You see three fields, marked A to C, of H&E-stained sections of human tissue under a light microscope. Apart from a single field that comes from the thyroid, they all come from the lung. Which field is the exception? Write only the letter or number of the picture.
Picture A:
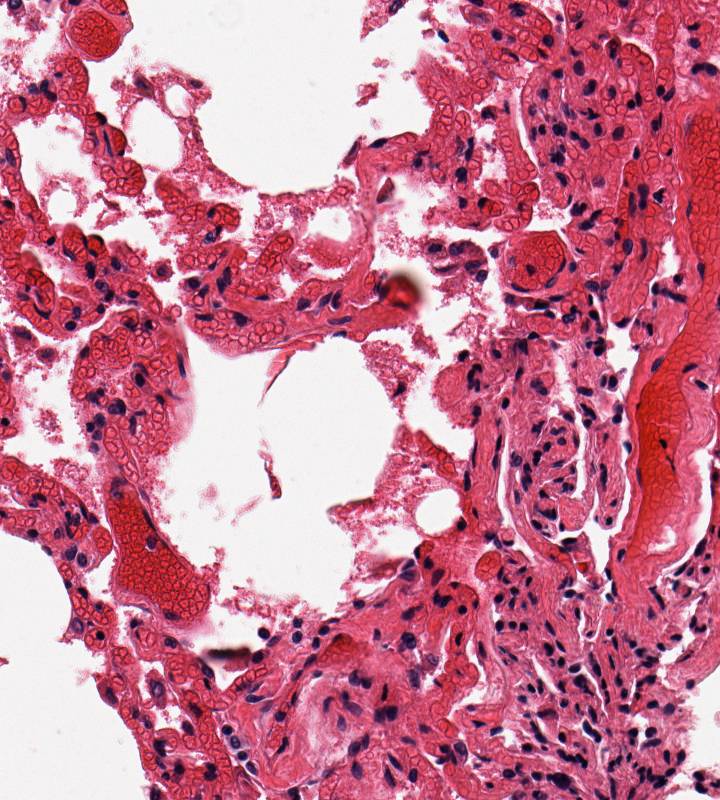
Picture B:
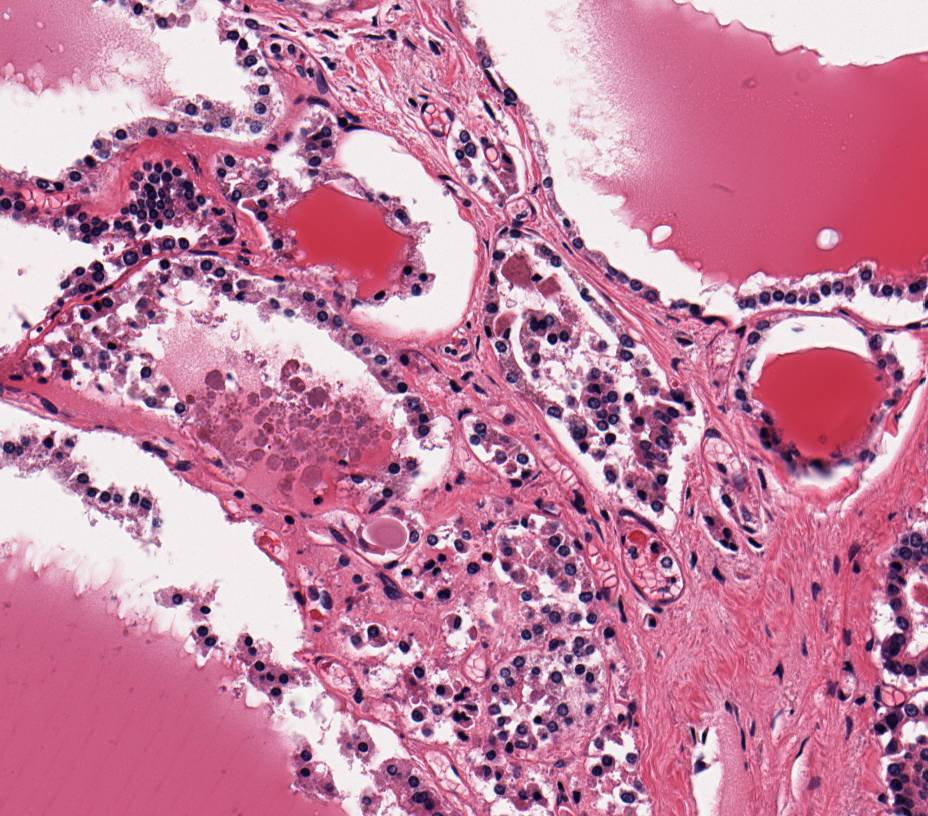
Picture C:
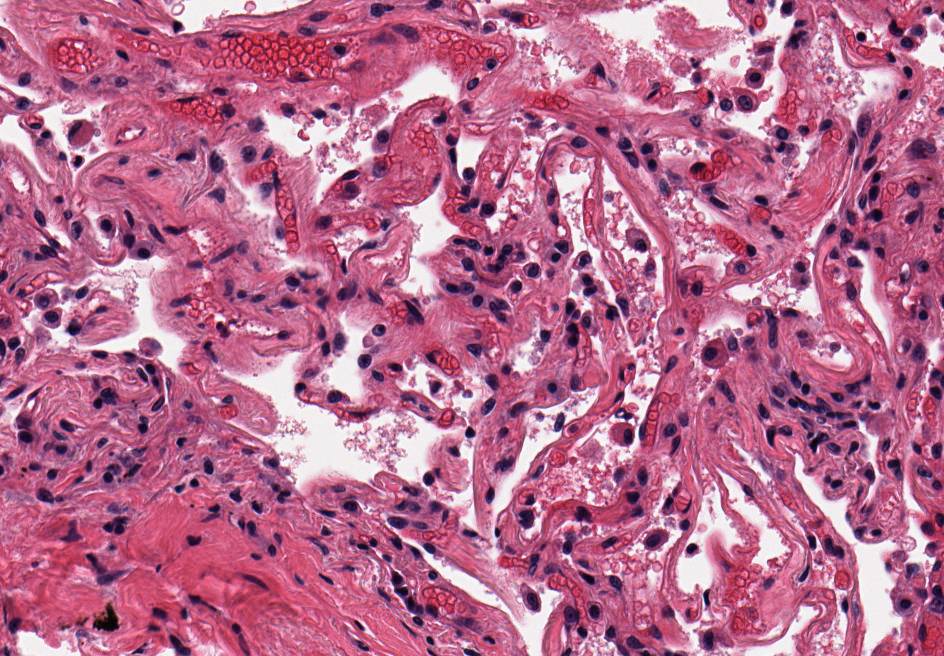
B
